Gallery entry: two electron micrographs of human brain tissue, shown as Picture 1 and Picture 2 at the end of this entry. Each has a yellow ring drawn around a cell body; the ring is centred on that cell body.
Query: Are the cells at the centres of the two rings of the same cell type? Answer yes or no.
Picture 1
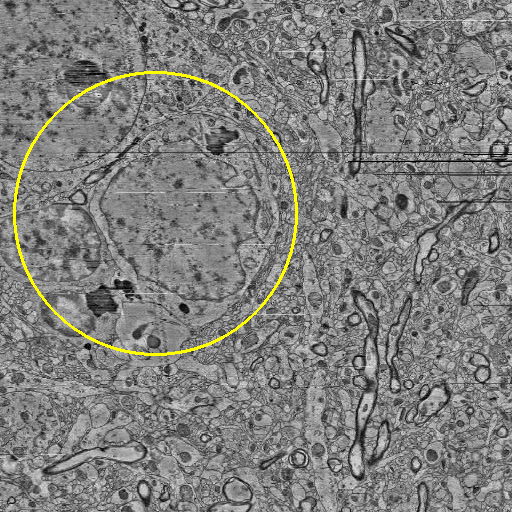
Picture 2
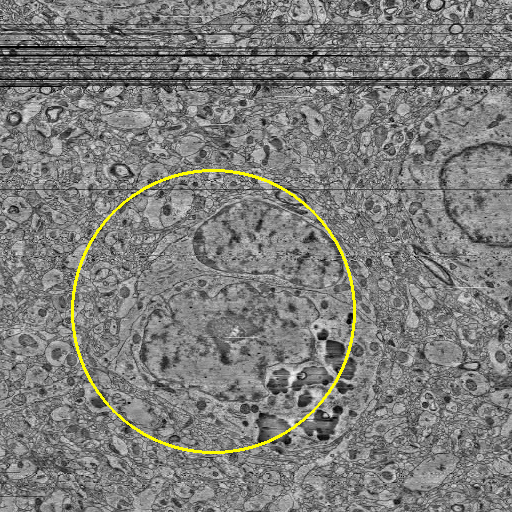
yes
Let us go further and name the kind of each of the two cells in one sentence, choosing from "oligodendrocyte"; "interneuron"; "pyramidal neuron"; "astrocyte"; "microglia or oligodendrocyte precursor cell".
The second cell is an interneuron, just as the first is.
